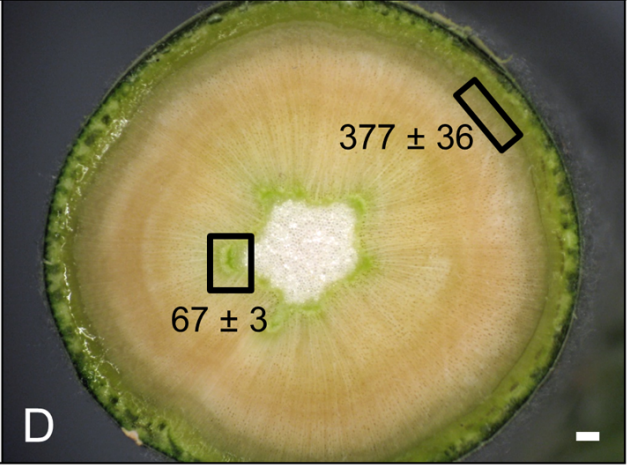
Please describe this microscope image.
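Unstained woody stem cross-section with a white central pith, pale wood crossed by fine radial rays, and a green bark rim. A green tinge edges the pith where the primary xylem parenchyma lies, and the developing secondary xylem lies at the outer edge of the wood against the bark.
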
